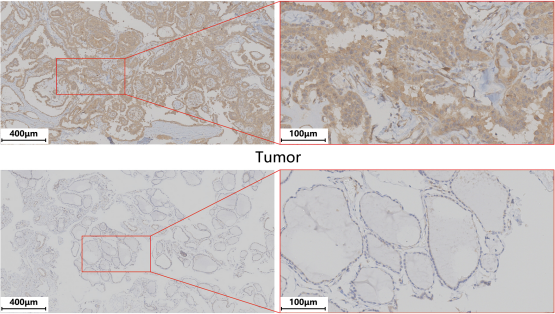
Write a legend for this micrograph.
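Thyroid tissue is shown in two rows, each with a low-power view and an enlarged boxed region. In the upper row, the tissue is crowded with branching, irregular epithelial structures, and the cytoplasm of the epithelial cells is diffusely stained brown. In the lower row, rounded follicles of varying size have pale lumens and are lined by a thin layer of flattened epithelial cells with blue nuclei and little brown staining.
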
